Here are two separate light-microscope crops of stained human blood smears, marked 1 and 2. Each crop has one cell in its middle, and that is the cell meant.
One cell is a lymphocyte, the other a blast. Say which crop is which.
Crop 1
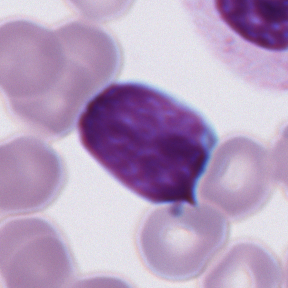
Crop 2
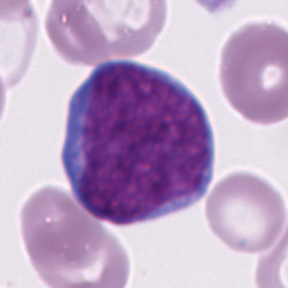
1: lymphocyte
2: blast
